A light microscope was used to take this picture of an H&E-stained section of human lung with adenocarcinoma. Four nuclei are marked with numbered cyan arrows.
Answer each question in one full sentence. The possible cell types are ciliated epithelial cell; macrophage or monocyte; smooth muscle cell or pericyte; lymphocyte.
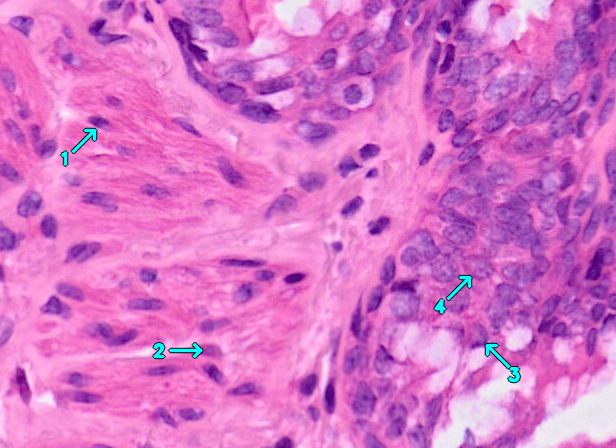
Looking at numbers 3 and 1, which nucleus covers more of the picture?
Of the two, number 3 is bigger and takes up about 3 times the area of number 1.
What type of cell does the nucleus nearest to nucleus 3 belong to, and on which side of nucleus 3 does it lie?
The nearest one is a ciliated epithelial cell, found to the left of nucleus 3.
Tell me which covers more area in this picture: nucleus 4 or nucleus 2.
The larger nucleus is 4, at roughly 3 times the area of 2.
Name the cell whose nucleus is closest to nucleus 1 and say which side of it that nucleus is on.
Just above and to the right of nucleus 1 lies the nearest nucleus, which belongs to a smooth muscle cell or pericyte.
